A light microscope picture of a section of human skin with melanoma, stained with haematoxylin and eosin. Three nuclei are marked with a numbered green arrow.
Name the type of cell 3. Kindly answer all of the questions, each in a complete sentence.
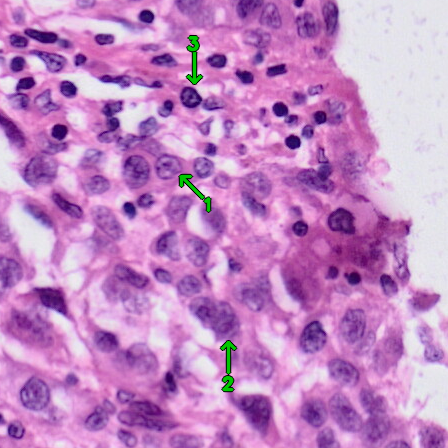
The cell bearing label 3 corresponds to a plasma cell.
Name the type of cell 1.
The numbered cell 1 in this field is a melanoma cell.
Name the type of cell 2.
Here the cell numbered 2 is a melanoma cell.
